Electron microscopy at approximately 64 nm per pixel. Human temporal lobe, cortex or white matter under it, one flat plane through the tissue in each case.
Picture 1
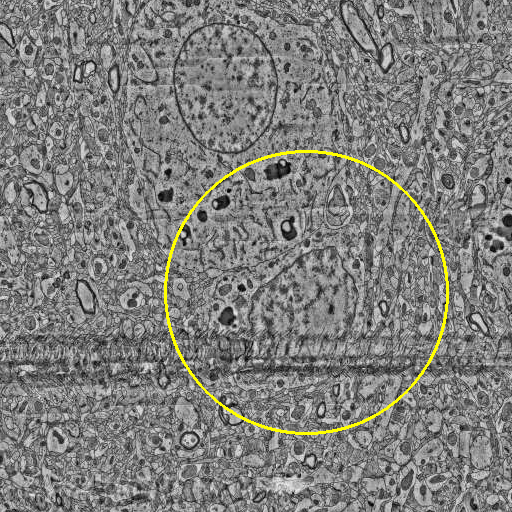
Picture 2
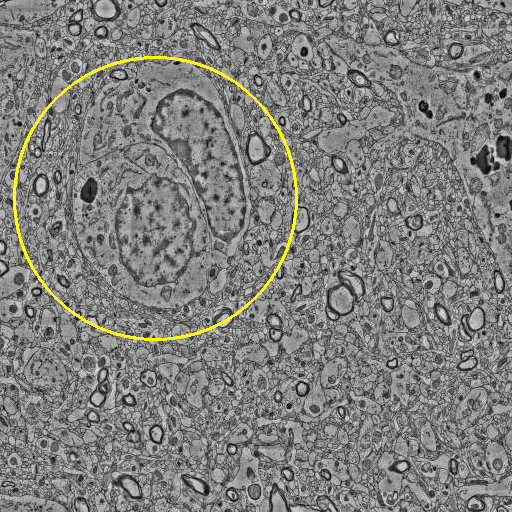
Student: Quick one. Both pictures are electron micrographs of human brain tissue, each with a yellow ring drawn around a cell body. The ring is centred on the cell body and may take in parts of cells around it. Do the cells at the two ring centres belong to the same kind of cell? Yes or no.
yes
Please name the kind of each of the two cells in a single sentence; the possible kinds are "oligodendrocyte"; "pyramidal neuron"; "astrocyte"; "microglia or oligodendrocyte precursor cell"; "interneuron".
Each of the two rings is centred on an interneuron.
